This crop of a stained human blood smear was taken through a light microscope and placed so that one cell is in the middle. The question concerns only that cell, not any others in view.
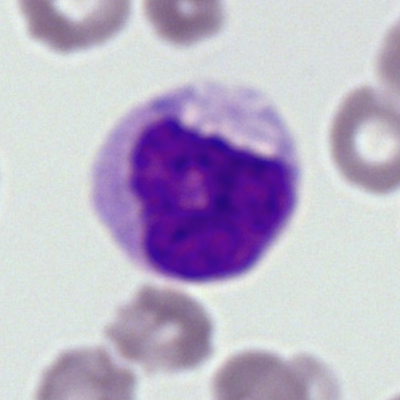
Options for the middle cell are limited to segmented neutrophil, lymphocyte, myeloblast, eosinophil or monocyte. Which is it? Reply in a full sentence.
On this slide crop, the central cell is a monocyte.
